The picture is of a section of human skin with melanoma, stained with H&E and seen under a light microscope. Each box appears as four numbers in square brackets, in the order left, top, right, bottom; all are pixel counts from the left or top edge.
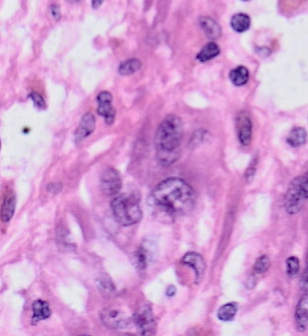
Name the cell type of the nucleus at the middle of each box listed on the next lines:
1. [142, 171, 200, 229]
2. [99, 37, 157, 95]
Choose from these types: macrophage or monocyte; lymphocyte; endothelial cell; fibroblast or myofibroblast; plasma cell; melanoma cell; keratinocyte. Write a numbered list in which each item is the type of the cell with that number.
1. melanoma cell
2. macrophage or monocyte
